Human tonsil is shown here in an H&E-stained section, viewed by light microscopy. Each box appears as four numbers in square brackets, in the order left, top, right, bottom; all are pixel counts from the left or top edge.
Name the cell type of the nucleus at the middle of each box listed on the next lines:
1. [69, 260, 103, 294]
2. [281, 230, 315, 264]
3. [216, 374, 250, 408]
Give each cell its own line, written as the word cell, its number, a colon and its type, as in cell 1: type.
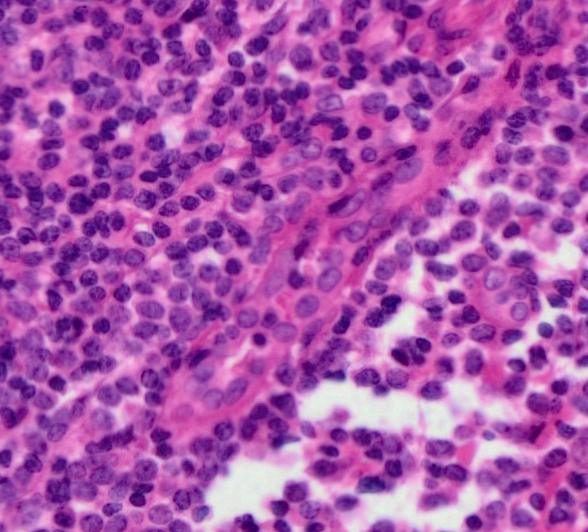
cell 1: small lymphocyte
cell 2: endothelial cell
cell 3: endothelial cell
